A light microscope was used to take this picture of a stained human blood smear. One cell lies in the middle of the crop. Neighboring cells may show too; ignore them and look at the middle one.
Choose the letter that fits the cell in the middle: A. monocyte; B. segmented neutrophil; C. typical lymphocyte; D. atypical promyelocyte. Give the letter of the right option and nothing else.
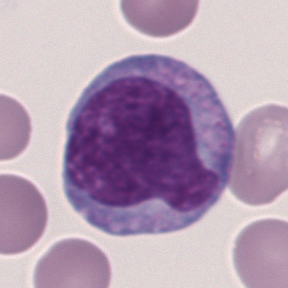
D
